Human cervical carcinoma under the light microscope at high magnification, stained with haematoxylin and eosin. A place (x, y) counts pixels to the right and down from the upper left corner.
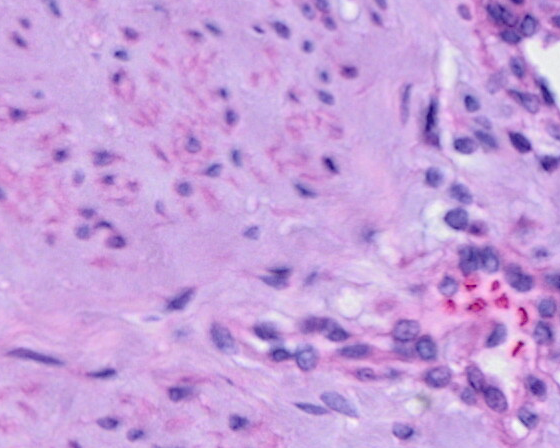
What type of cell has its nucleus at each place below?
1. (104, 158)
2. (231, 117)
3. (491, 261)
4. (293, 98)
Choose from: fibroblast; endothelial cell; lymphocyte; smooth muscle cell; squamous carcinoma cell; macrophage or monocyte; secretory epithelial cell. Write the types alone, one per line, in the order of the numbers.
smooth muscle cell
smooth muscle cell
endothelial cell
smooth muscle cell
